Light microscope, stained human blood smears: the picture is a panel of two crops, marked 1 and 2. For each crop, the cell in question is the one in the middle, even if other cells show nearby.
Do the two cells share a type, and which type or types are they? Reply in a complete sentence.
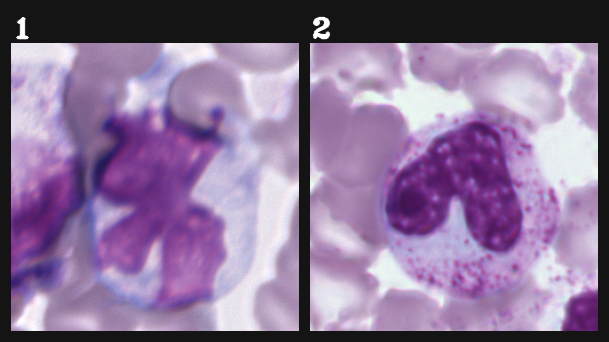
No, crop 1 should be called a monocyte, and crop 2 should be called a band neutrophil.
